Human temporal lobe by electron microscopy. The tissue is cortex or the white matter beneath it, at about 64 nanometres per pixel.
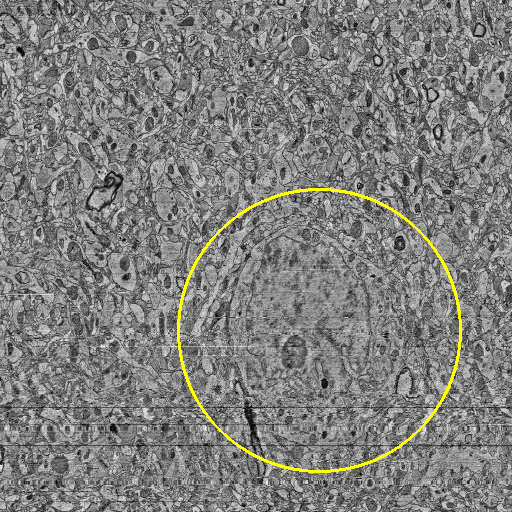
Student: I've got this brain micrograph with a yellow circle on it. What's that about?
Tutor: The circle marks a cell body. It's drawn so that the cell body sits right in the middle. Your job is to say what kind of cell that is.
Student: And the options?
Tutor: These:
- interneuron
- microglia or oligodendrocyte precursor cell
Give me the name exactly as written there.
interneuron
